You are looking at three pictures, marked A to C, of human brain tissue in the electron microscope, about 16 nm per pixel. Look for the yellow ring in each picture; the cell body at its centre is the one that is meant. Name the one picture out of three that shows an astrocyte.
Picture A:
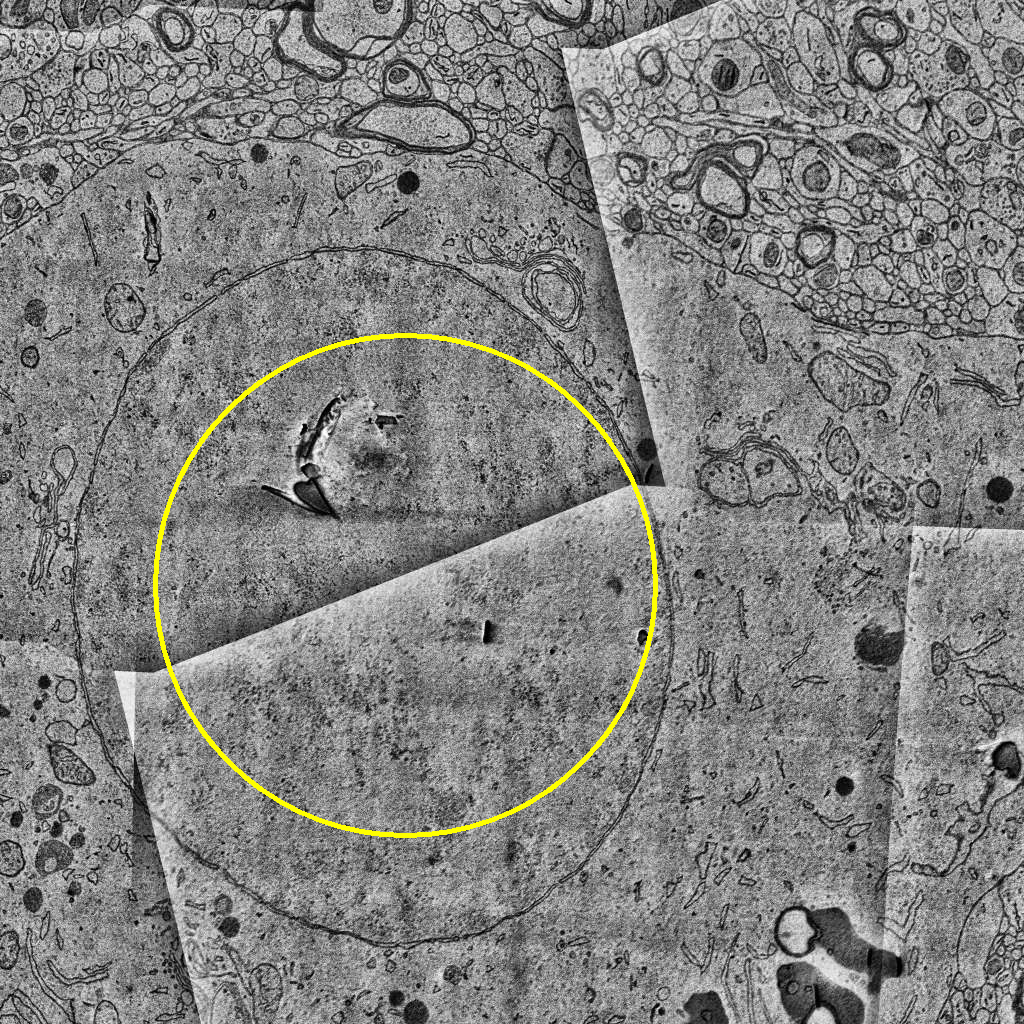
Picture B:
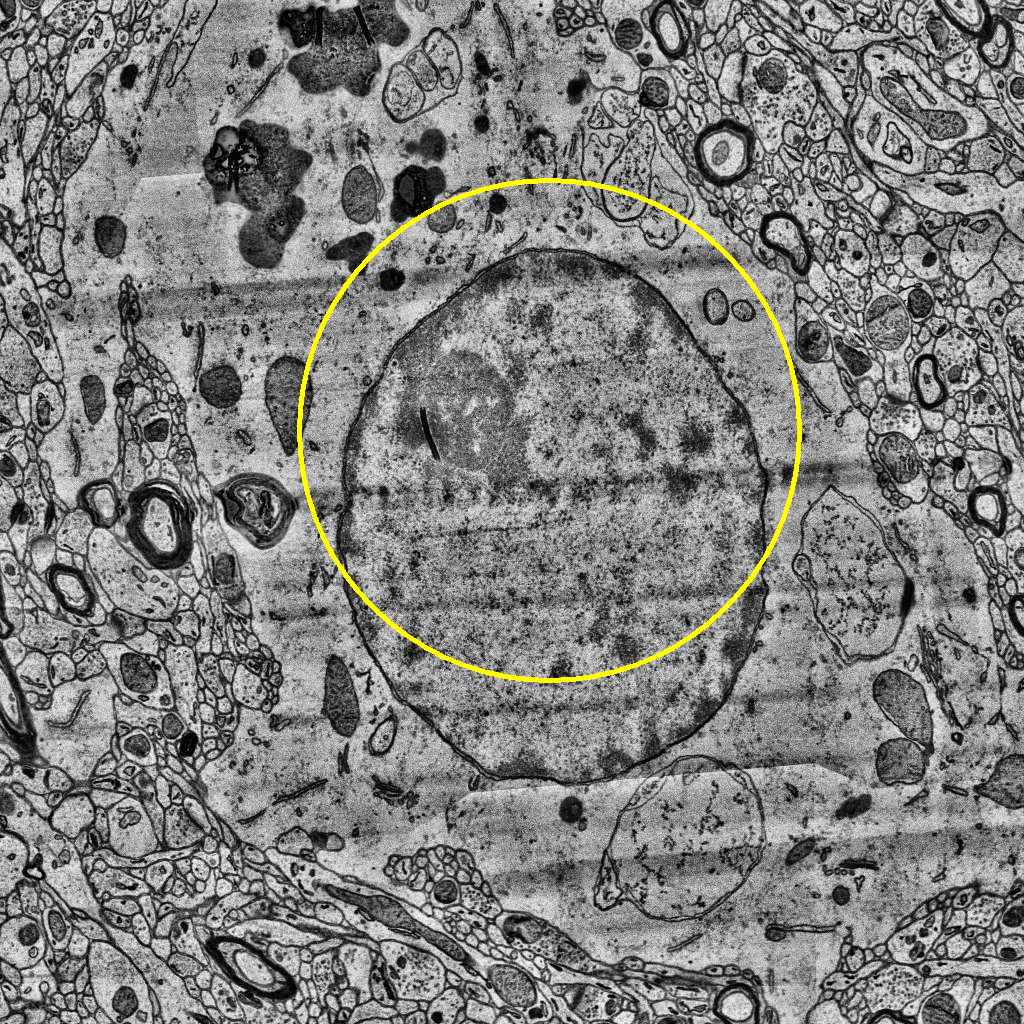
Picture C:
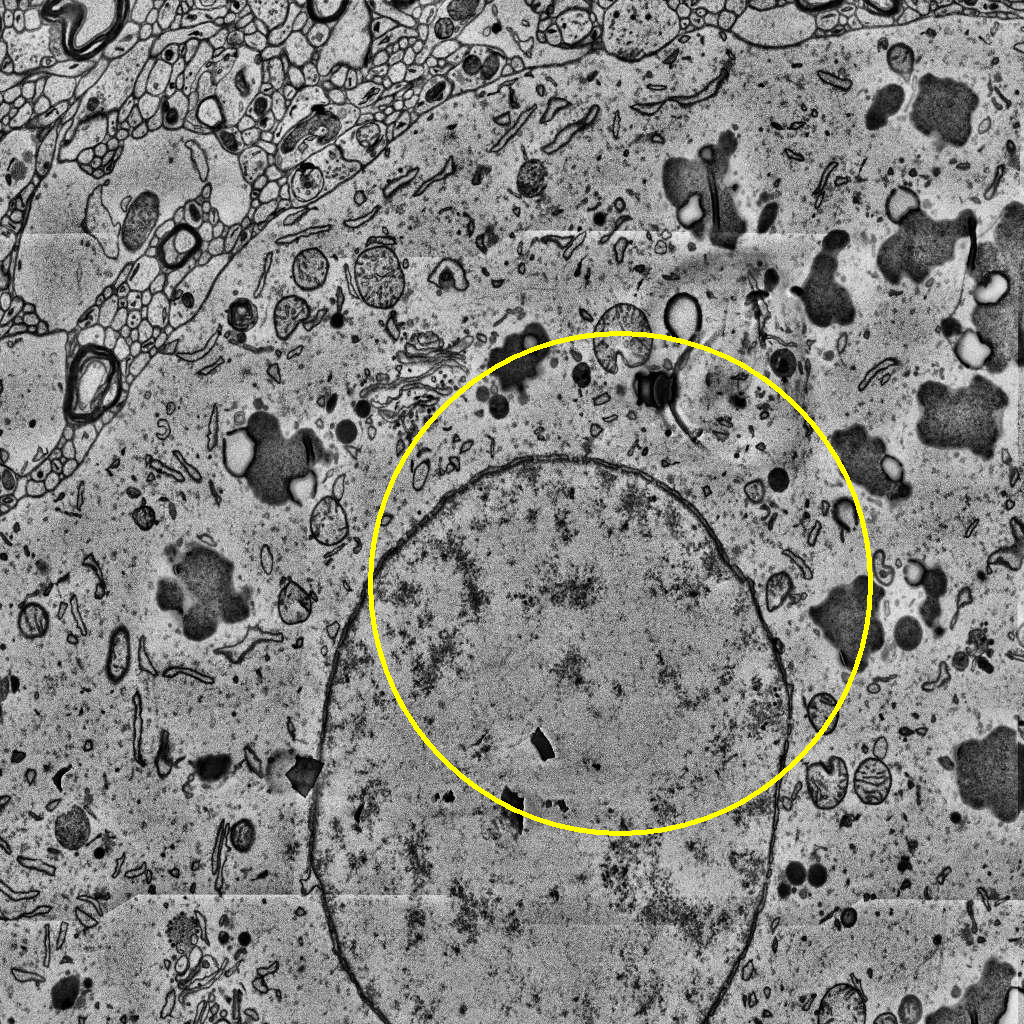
It is picture B that shows the astrocyte.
